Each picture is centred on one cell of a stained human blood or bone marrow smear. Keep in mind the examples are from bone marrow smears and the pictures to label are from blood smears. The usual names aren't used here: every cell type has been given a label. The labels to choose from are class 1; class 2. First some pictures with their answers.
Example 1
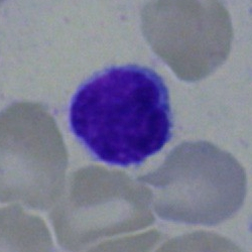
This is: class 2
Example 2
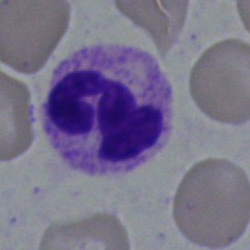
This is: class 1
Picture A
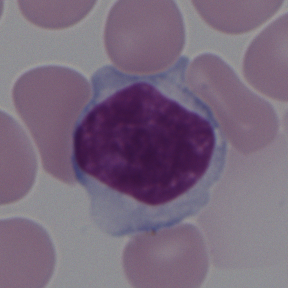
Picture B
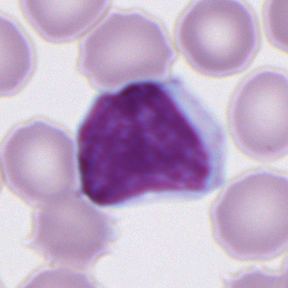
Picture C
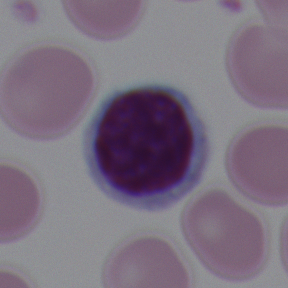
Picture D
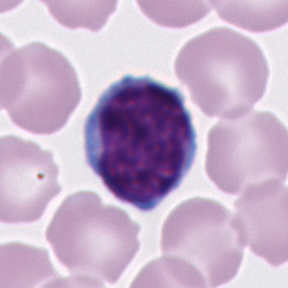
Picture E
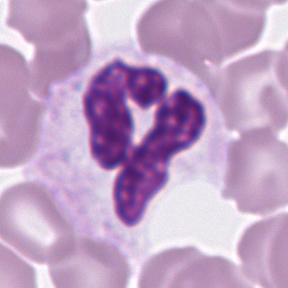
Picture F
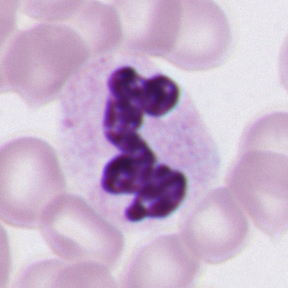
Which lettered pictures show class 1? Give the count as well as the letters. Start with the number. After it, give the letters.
2: E, F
